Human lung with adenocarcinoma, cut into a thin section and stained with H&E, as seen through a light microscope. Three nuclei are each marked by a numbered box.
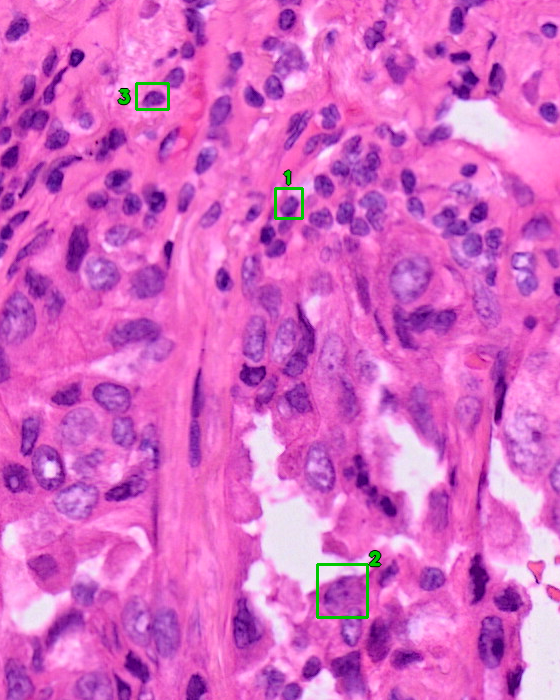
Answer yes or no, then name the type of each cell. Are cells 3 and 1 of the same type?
Yes, both are lymphocytes.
